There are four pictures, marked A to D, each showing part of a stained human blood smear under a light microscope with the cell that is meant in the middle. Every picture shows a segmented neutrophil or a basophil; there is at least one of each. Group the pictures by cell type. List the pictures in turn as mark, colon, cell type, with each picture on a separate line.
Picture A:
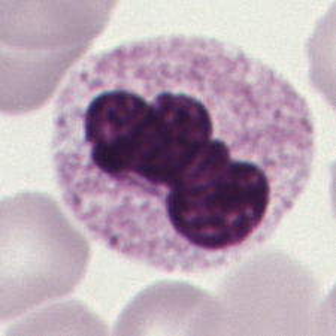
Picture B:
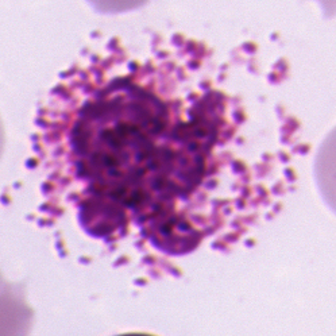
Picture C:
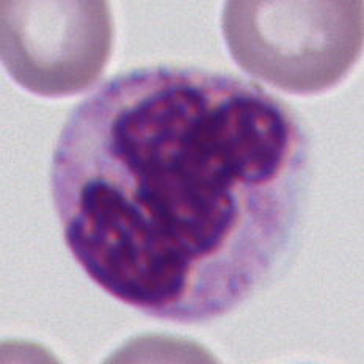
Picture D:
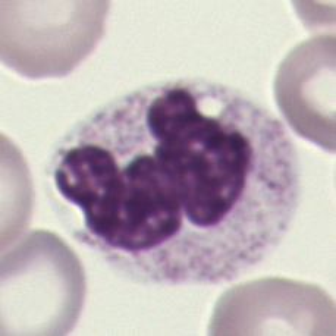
A: segmented neutrophil
B: basophil
C: segmented neutrophil
D: segmented neutrophil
